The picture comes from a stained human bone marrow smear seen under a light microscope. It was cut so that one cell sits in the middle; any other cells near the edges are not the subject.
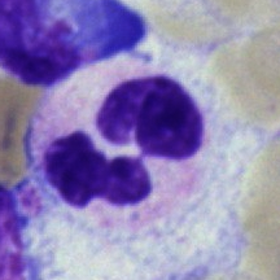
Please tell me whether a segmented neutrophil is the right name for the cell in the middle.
yes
